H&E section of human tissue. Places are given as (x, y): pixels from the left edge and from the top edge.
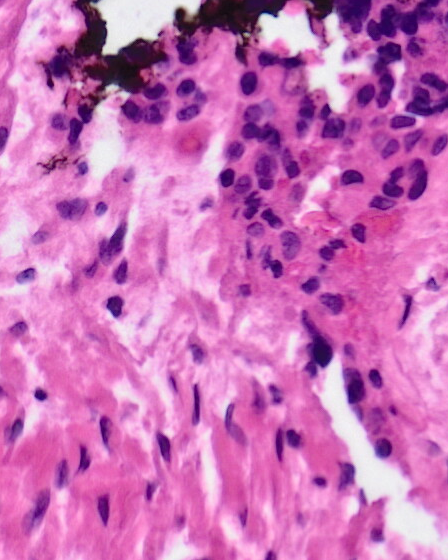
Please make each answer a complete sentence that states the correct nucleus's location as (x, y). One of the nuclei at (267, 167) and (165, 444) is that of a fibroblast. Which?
Identify the nucleus at (165, 444) as the one belonging to a fibroblast.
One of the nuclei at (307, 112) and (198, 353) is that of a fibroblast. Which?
Identify the nucleus at (198, 353) as the one belonging to a fibroblast.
